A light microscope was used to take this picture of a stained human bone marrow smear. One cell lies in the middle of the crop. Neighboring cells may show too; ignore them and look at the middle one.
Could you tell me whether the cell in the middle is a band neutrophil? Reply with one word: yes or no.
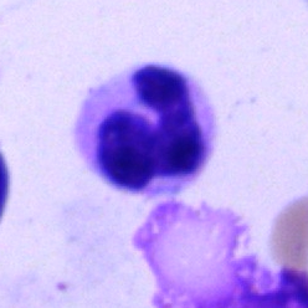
no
